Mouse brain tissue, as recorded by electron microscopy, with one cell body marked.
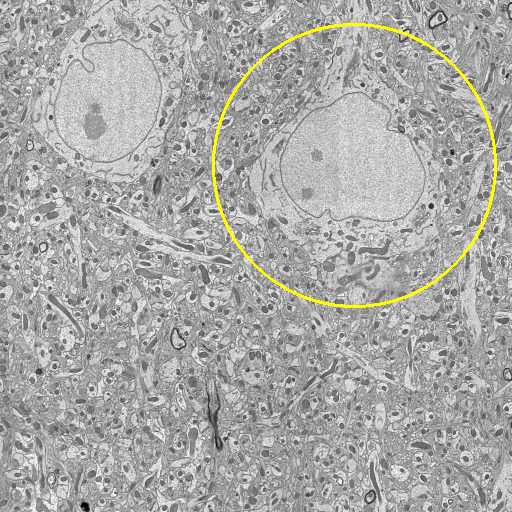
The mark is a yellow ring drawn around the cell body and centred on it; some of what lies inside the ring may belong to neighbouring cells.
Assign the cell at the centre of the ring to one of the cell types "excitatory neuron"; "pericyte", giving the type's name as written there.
excitatory neuron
